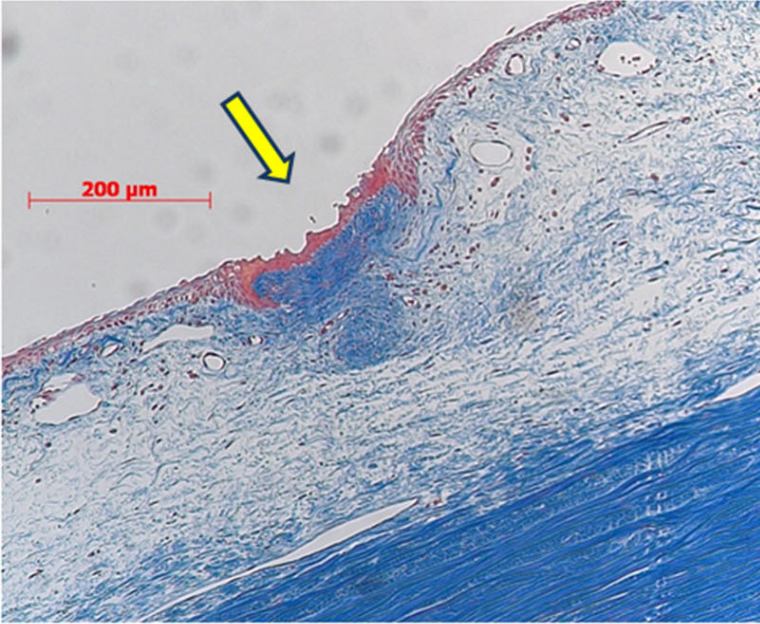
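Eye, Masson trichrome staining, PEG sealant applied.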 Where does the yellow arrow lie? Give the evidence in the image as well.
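The arrow points to a small focal area of dense blue tissue at the surface.
Hence: site of perforation.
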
